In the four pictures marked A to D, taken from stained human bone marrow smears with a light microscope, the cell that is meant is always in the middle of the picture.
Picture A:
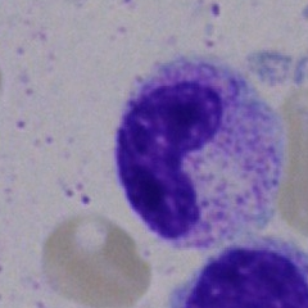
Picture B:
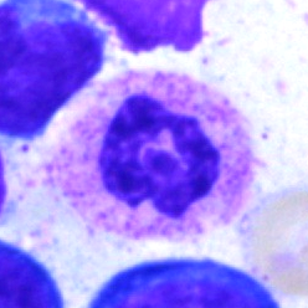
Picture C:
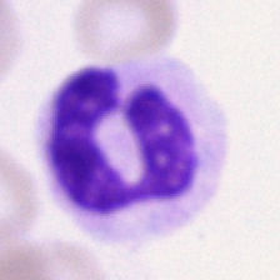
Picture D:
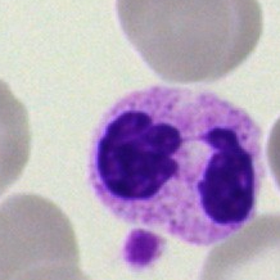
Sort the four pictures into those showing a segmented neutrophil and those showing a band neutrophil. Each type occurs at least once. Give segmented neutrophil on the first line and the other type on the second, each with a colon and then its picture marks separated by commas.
segmented neutrophil: B, C, D
band neutrophil: A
